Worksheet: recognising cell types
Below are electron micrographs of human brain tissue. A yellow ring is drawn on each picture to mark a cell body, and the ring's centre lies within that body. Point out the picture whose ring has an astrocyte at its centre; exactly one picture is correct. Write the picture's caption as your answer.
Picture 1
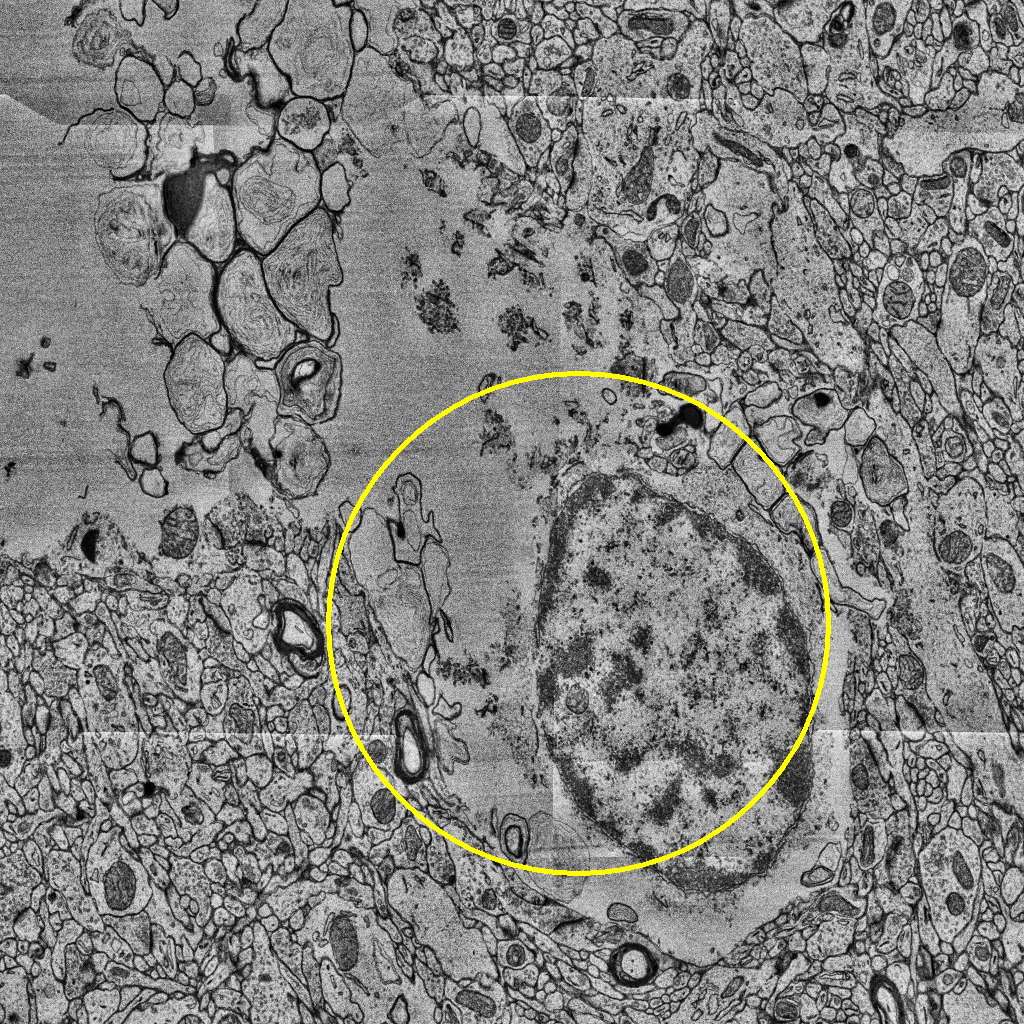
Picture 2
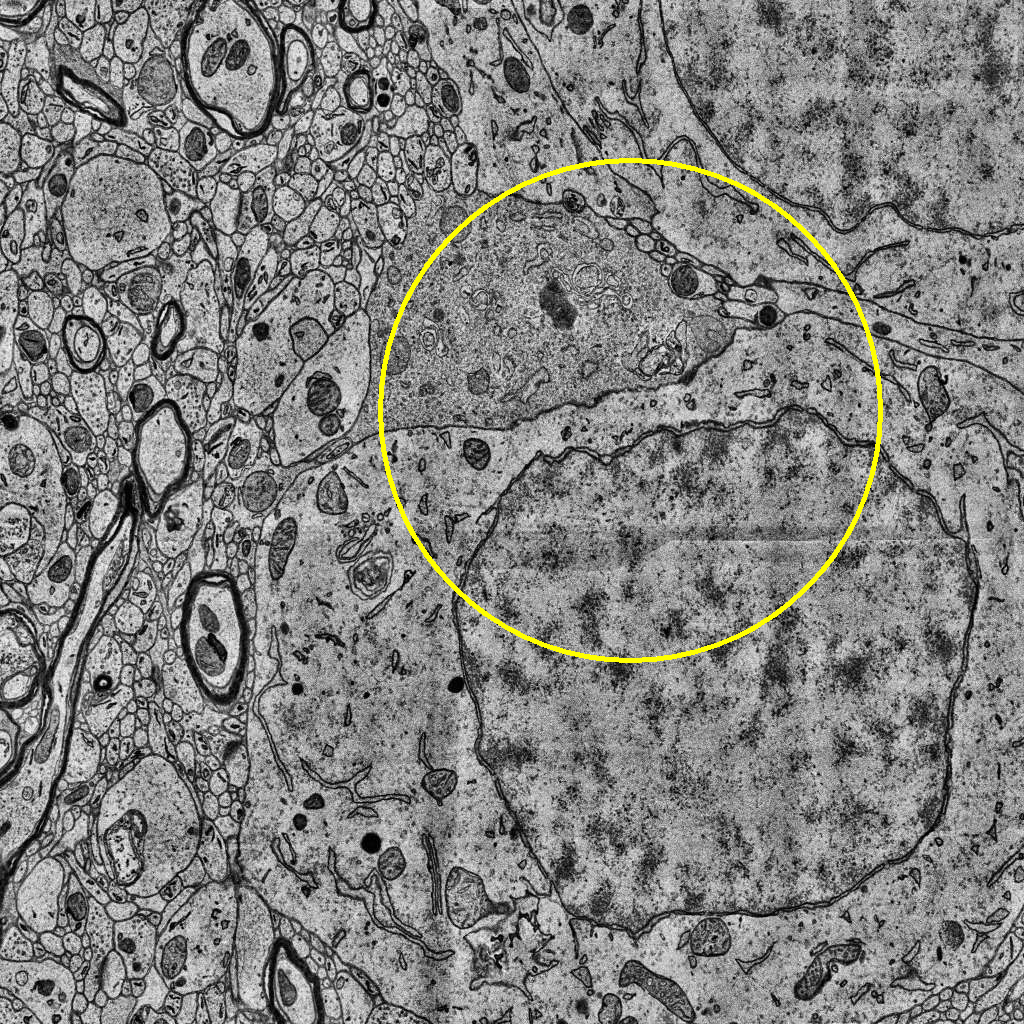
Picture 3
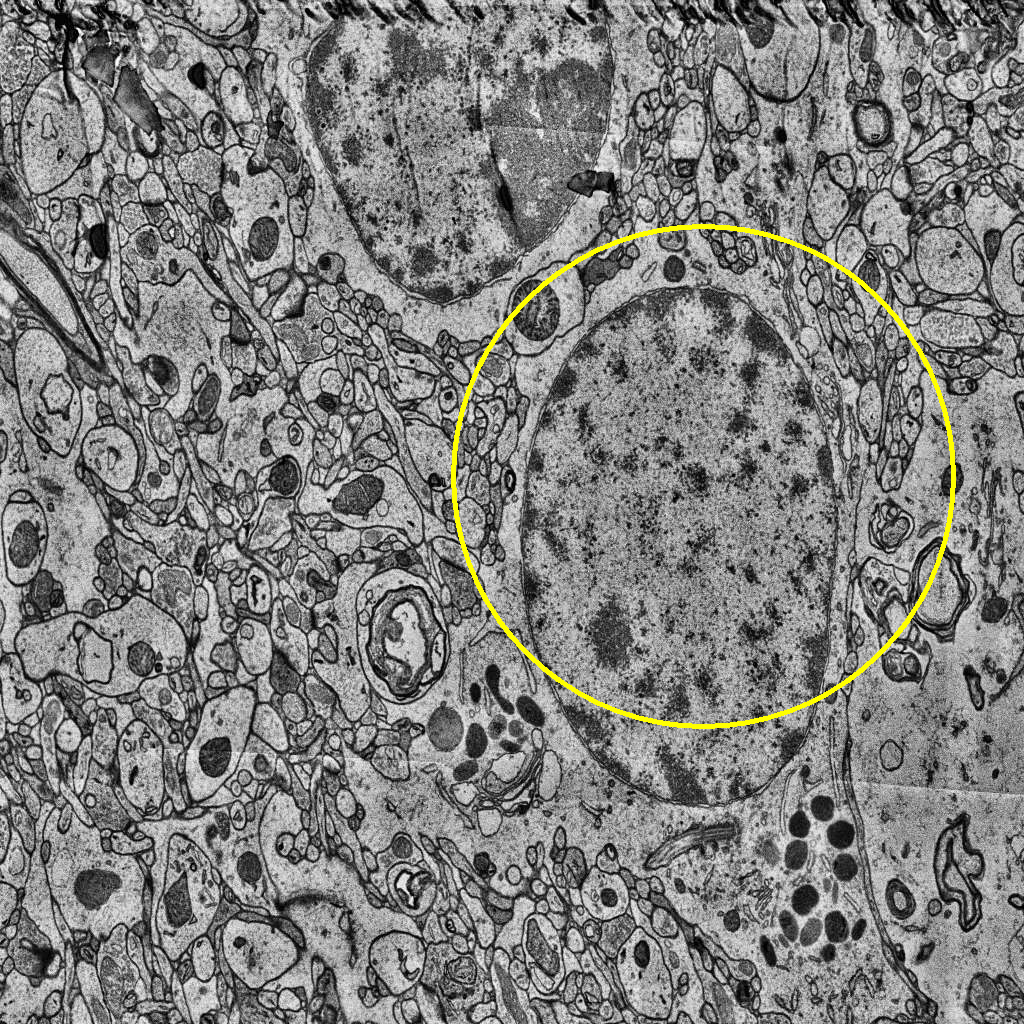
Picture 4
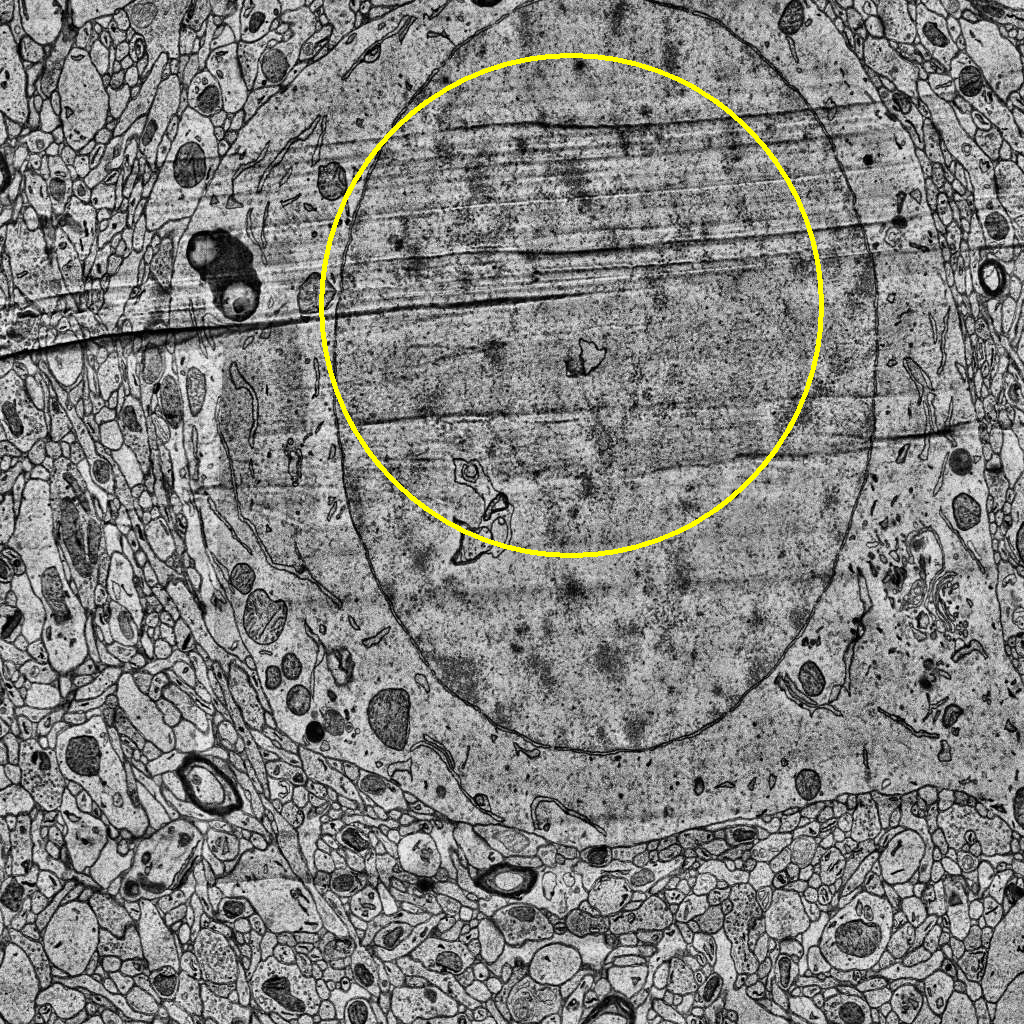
Picture 3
